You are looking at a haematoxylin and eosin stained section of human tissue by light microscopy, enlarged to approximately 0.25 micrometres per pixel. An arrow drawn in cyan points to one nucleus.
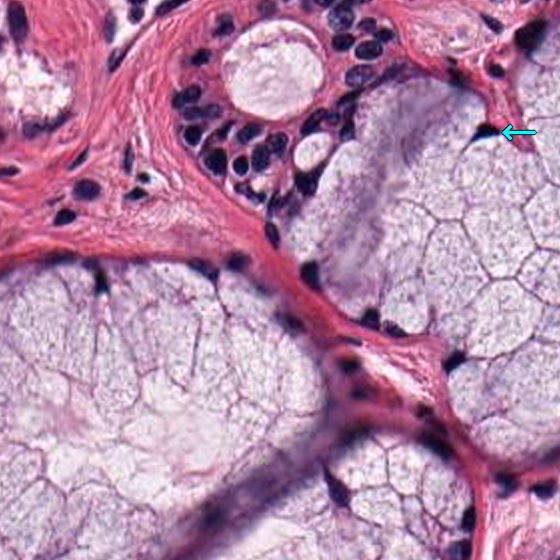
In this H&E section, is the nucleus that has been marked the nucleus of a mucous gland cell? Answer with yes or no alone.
yes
